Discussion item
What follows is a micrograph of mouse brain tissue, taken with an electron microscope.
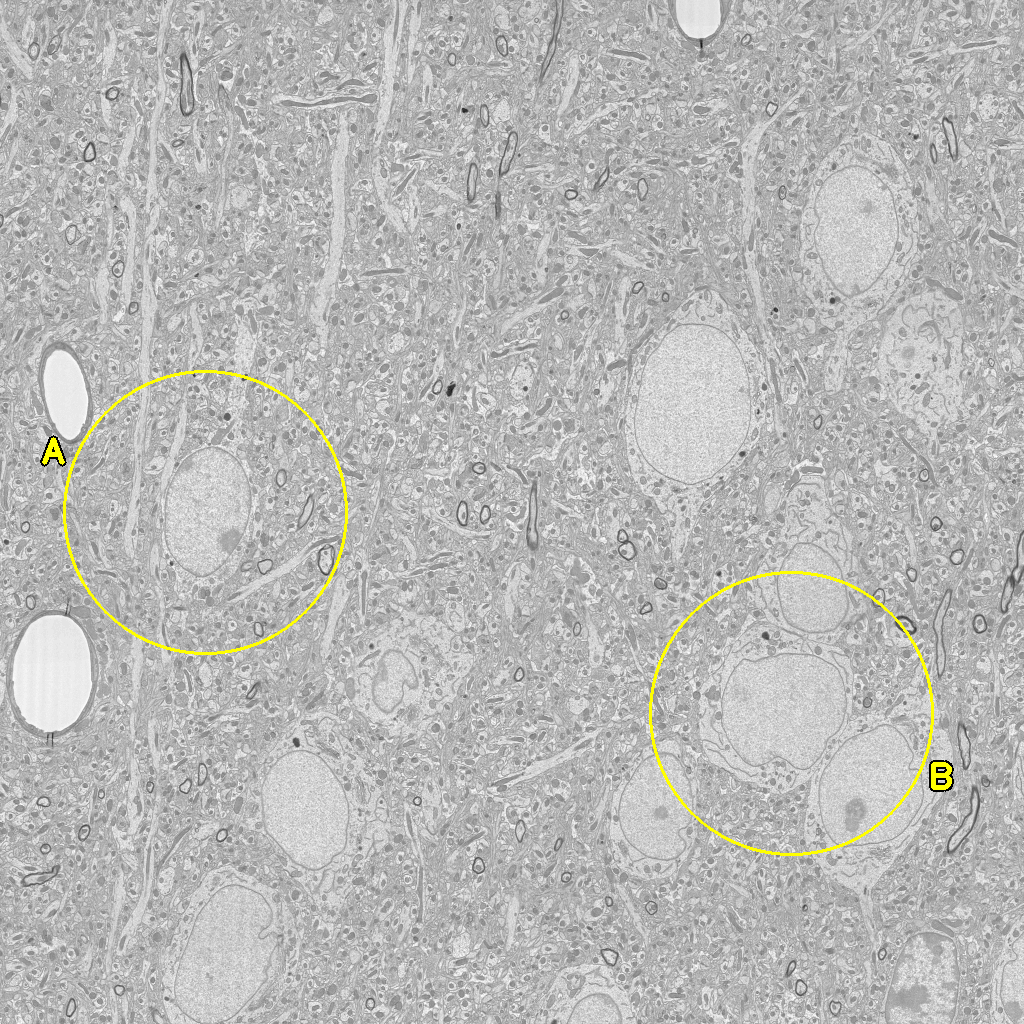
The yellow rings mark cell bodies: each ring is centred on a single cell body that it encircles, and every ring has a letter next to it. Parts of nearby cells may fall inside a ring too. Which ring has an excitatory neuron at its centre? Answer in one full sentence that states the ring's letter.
Ring B is the ring whose centre falls on the cell the question asks about.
